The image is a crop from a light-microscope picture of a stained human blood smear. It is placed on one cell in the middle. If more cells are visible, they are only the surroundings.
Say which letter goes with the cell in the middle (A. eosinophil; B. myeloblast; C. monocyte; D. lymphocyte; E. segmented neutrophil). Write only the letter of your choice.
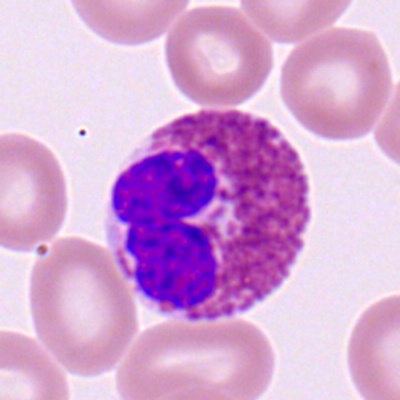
A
